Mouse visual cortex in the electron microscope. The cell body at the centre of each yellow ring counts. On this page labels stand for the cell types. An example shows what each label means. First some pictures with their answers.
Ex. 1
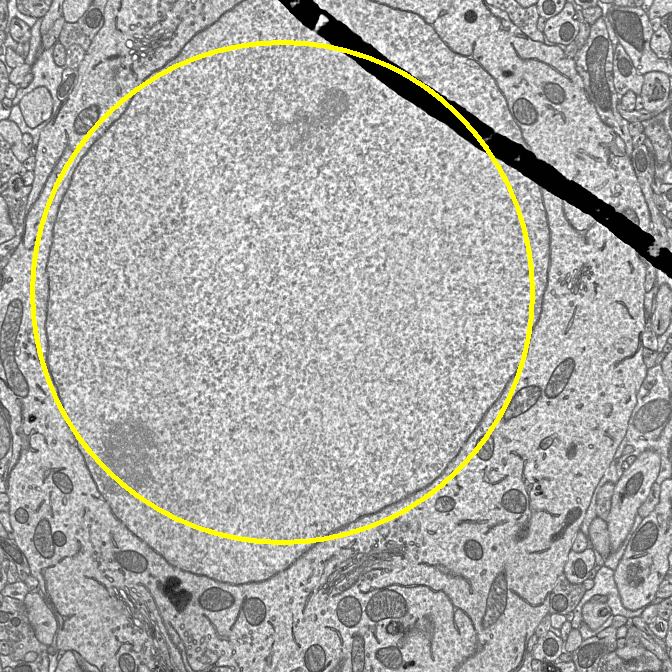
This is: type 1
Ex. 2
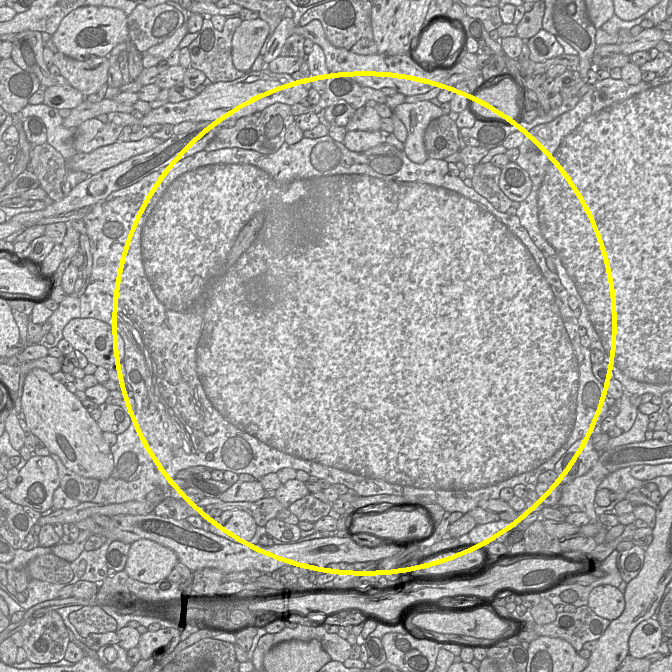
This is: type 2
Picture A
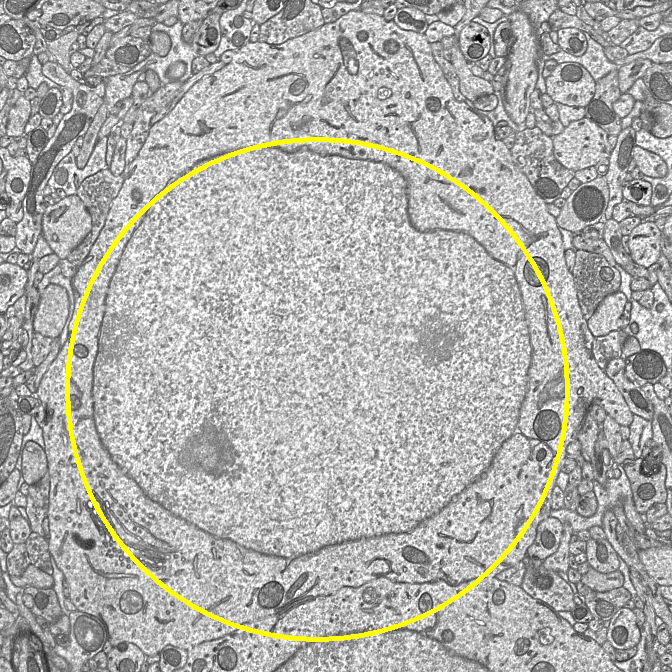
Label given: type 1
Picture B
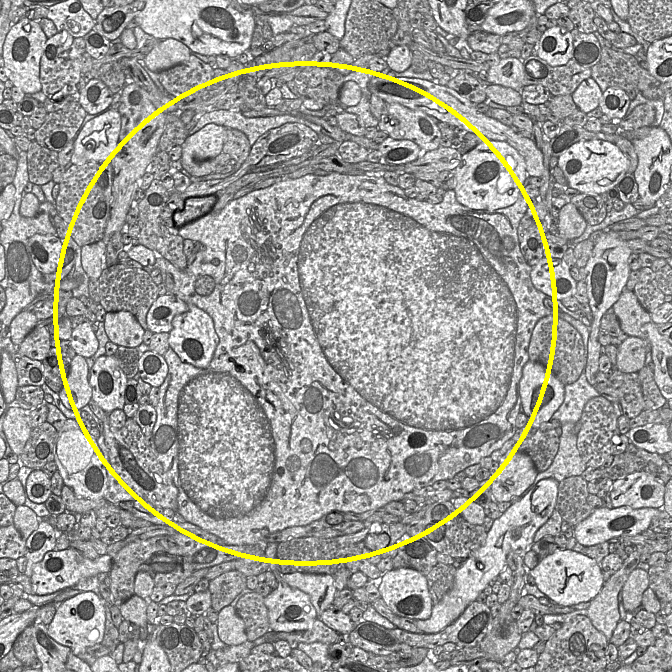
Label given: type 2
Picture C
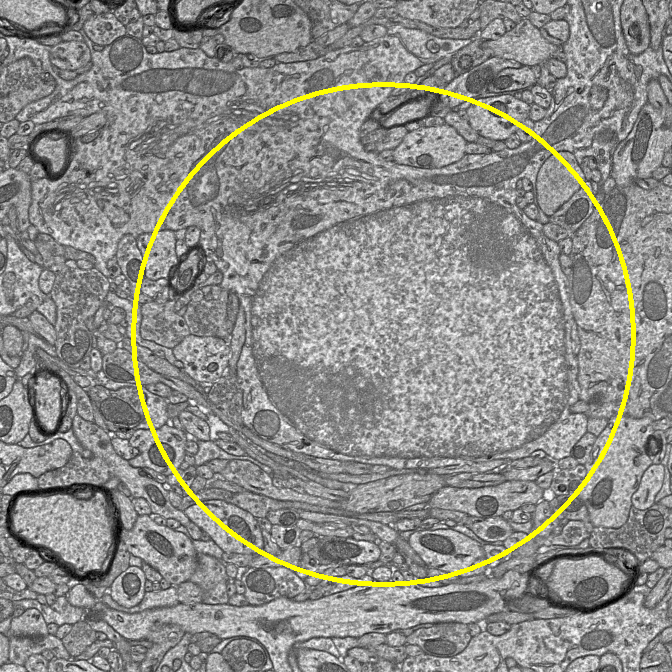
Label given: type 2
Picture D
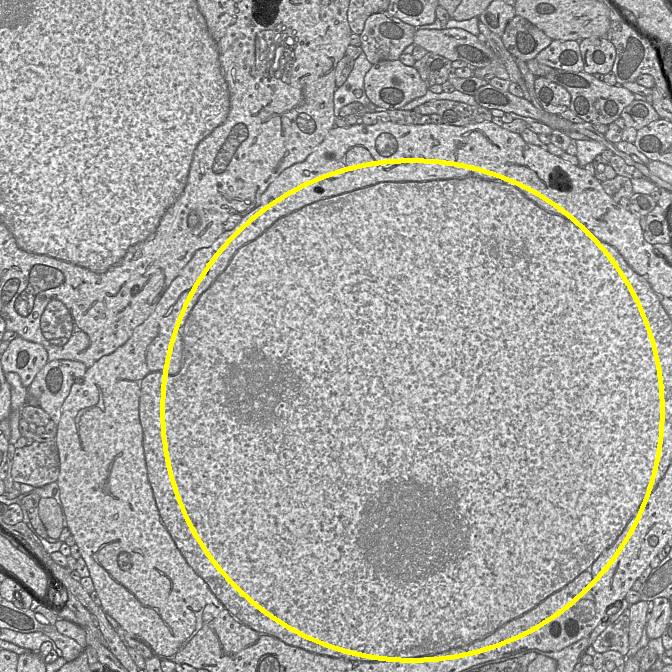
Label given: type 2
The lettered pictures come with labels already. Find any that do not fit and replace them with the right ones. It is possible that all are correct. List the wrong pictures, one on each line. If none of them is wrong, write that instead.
Wrong: D (type 2); correct: type 1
